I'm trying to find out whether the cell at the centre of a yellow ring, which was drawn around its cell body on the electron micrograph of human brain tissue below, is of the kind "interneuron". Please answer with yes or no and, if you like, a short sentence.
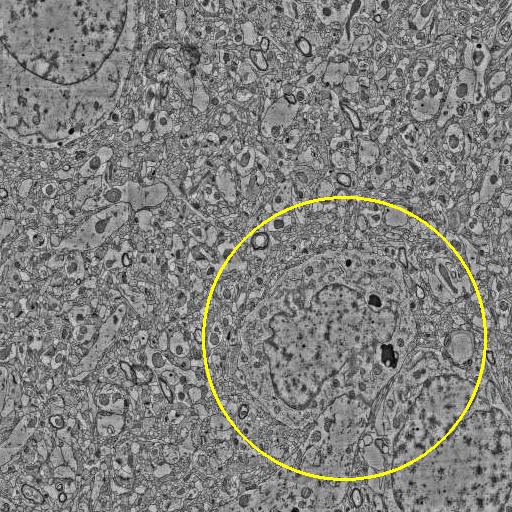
Yes, that cell is of the given kind.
